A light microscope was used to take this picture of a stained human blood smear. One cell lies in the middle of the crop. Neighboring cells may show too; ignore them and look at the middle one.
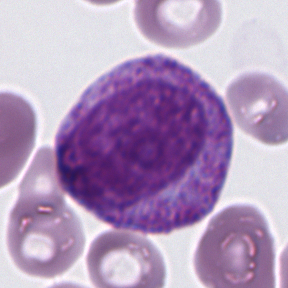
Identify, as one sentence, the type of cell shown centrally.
This particular crop is centered on an atypical promyelocyte.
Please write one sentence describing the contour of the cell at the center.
You can see a smooth boundary, with no projections sticking out.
